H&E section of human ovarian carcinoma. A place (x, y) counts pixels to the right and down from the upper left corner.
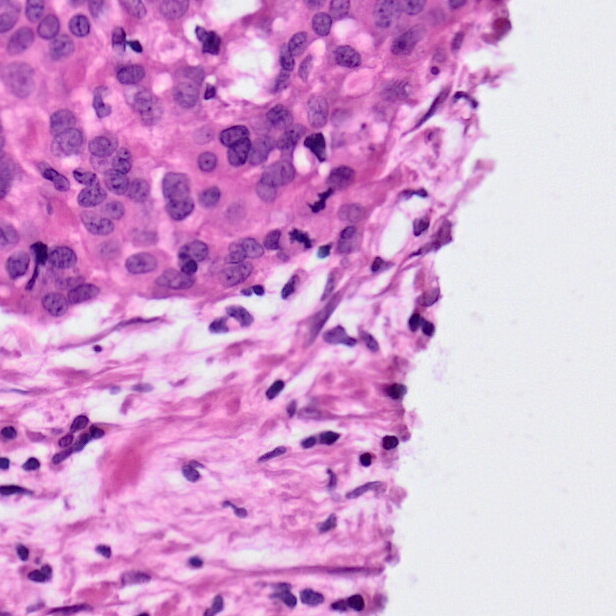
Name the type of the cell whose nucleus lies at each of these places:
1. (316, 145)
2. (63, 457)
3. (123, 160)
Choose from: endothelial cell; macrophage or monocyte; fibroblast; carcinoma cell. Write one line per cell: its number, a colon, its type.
1: carcinoma cell
2: macrophage or monocyte
3: carcinoma cell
